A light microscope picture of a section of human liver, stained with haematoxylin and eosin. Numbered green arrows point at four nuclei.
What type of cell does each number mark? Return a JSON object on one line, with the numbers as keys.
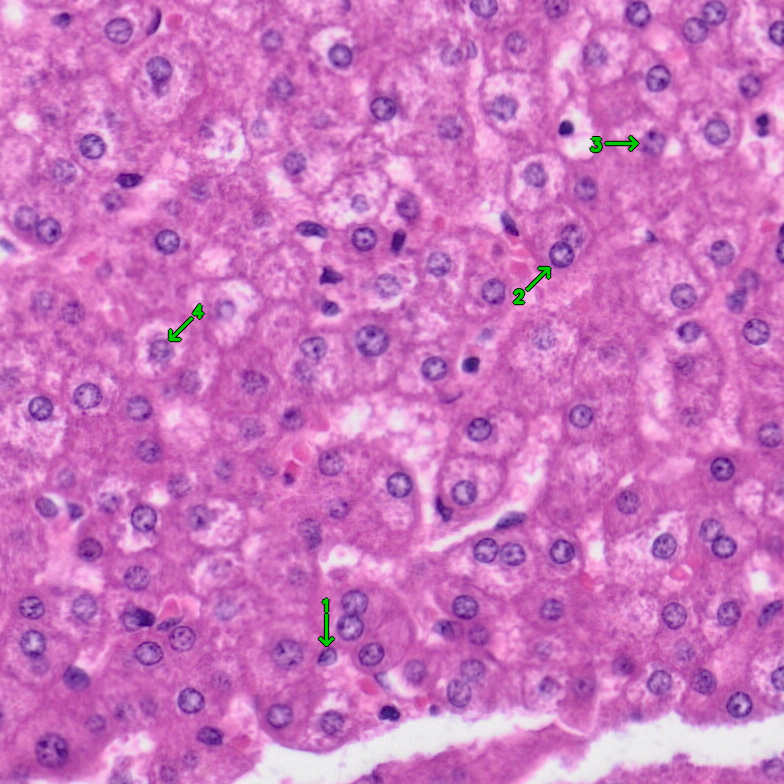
{"1": "endothelial cell", "2": "hepatocyte", "3": "hepatocyte", "4": "hepatocyte"}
